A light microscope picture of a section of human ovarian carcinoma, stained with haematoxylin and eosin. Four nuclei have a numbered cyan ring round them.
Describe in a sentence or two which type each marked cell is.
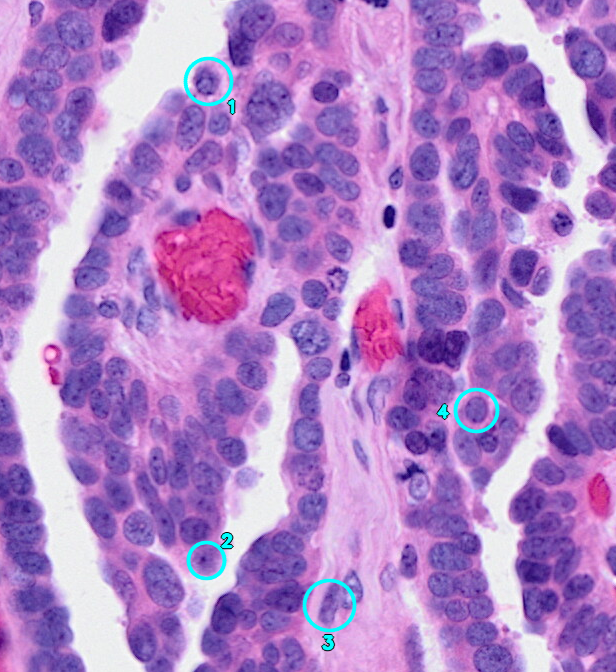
Cell 1 is a macrophage or monocyte. Cells 2 and 4 are carcinoma cells. Cell 3 is a fibroblast.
